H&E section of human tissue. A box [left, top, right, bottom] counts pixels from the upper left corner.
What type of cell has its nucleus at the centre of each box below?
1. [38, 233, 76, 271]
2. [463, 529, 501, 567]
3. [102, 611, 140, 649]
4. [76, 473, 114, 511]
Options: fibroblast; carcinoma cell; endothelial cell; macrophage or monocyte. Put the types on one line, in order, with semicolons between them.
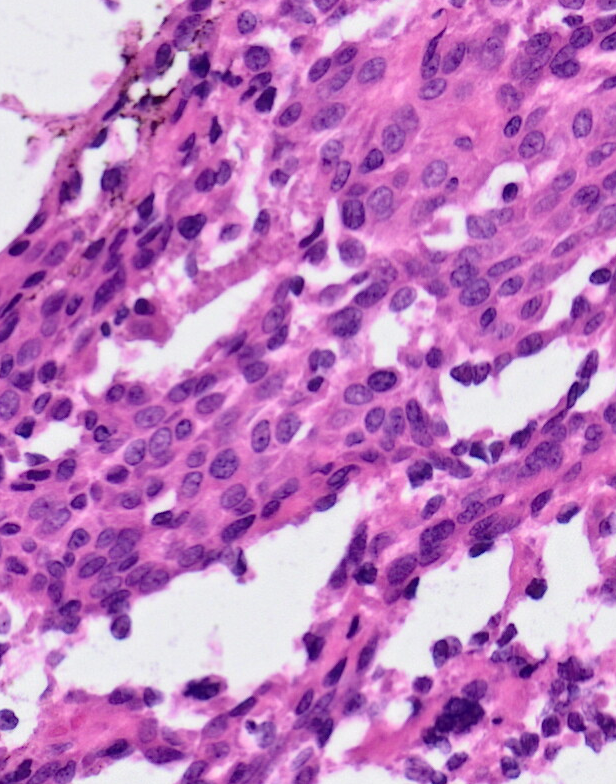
carcinoma cell; carcinoma cell; carcinoma cell; macrophage or monocyte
